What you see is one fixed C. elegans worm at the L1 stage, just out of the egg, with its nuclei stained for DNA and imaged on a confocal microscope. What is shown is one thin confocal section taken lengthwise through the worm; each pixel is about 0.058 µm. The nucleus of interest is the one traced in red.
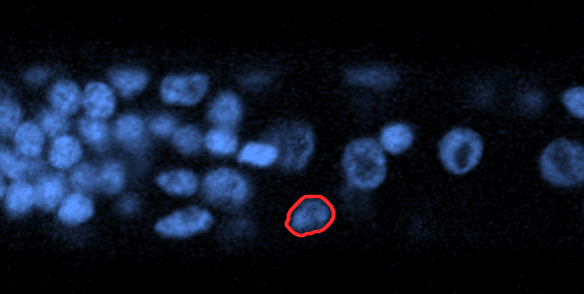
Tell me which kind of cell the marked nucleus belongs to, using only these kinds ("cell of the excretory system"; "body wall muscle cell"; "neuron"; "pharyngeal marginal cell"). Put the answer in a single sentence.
The nucleus comes from a body wall muscle cell.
